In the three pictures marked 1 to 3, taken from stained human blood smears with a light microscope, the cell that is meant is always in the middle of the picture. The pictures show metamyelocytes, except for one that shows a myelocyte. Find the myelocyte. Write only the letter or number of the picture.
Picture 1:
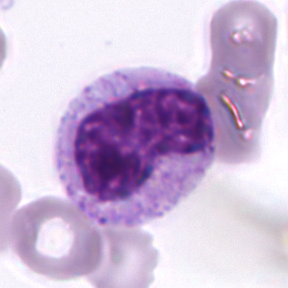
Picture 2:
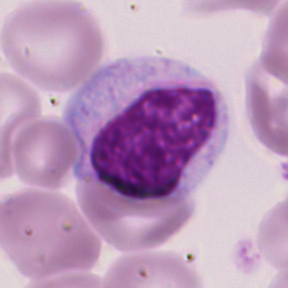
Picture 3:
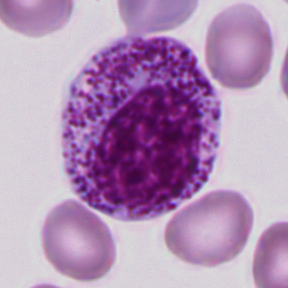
3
